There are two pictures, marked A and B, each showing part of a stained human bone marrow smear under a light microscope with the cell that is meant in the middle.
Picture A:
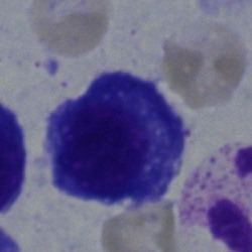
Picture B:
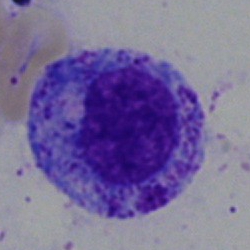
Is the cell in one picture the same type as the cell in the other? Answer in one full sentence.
No, picture A shows a plasma cell and picture B shows a myelocyte.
